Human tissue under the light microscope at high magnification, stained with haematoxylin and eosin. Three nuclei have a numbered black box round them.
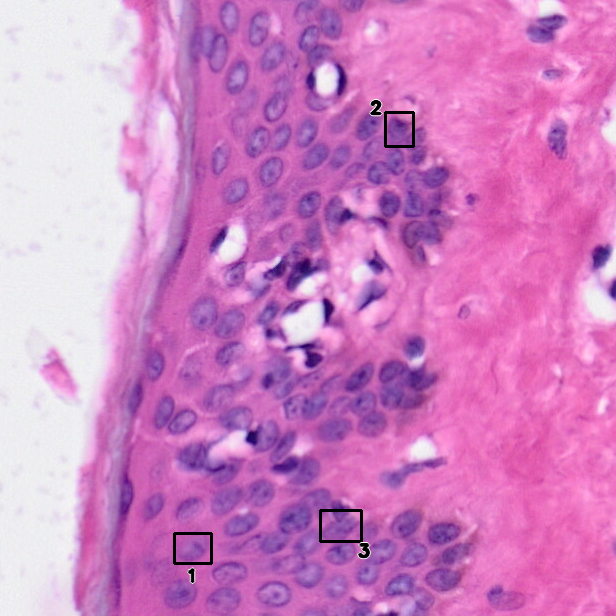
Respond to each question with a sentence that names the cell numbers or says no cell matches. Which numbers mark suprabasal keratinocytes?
Cell 1 is a suprabasal keratinocyte, whereas each of the other numbered cells is not.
